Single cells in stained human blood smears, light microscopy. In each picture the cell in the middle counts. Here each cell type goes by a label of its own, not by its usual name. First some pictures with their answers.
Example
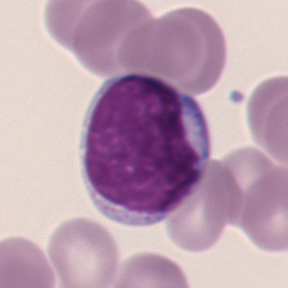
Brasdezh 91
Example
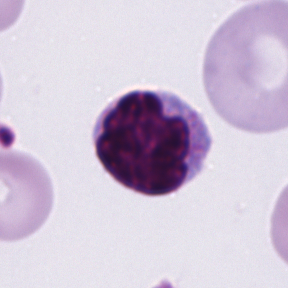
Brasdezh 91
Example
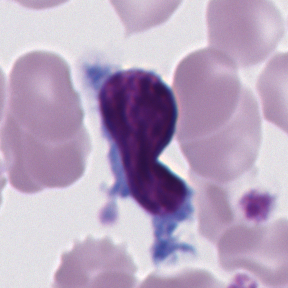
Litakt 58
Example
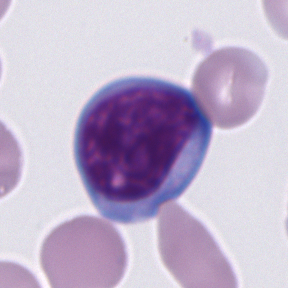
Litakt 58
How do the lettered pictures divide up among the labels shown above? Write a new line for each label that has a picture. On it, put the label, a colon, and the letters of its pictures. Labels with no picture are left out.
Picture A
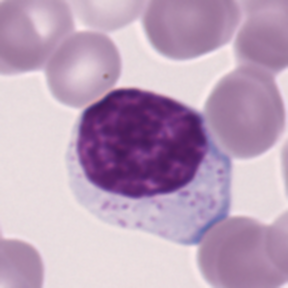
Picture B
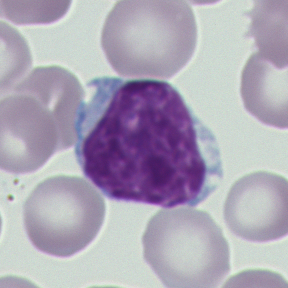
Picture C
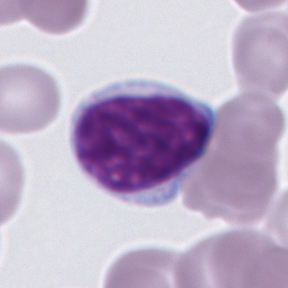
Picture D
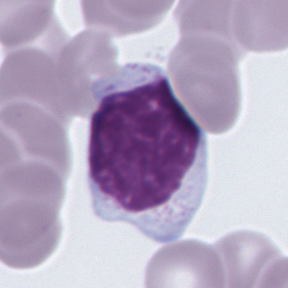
Brasdezh 91: A, C, D
Litakt 58: B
